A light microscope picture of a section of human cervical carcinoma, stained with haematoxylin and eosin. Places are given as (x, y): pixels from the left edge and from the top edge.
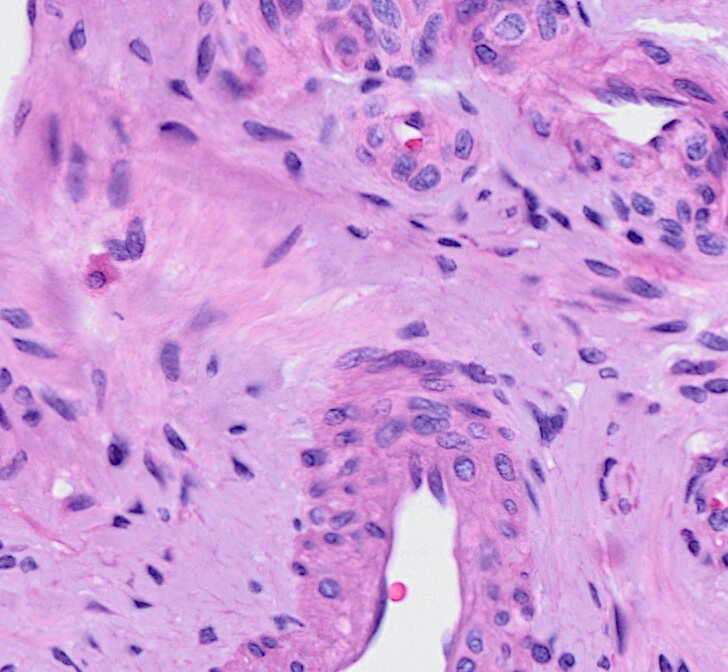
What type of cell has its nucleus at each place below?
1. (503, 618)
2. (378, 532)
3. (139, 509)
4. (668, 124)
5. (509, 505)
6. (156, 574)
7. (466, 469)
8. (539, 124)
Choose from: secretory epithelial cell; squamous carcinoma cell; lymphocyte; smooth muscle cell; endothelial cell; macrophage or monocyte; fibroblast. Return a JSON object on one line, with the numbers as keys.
{"1": "smooth muscle cell", "2": "smooth muscle cell", "3": "fibroblast", "4": "endothelial cell", "5": "smooth muscle cell", "6": "fibroblast", "7": "smooth muscle cell", "8": "smooth muscle cell"}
